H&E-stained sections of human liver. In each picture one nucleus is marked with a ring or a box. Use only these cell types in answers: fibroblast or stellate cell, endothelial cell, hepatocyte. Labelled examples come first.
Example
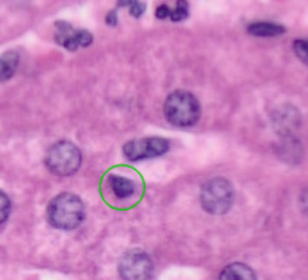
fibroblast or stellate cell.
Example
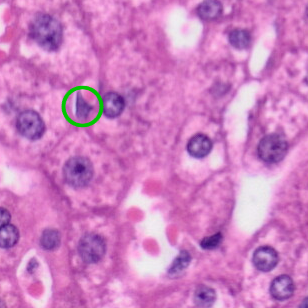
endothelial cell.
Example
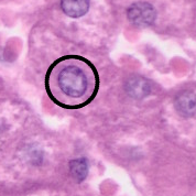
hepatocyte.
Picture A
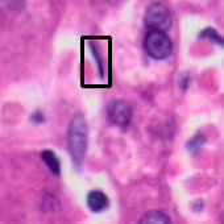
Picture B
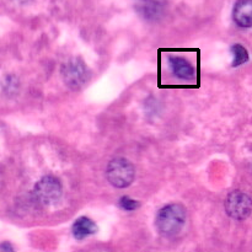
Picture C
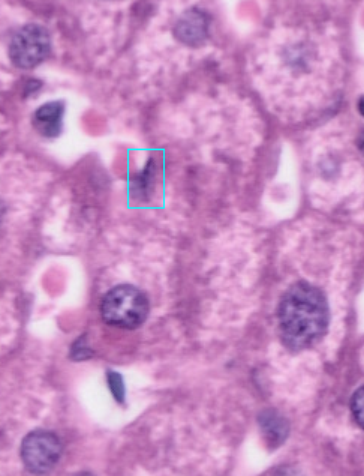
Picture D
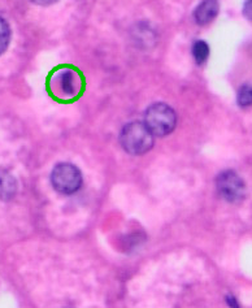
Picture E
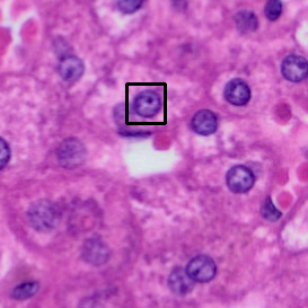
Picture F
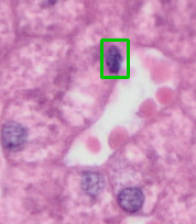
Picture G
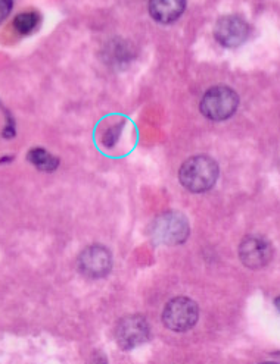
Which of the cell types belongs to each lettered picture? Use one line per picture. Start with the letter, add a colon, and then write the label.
A: endothelial cell.
B: fibroblast or stellate cell.
C: endothelial cell.
D: endothelial cell.
E: hepatocyte.
F: fibroblast or stellate cell.
G: endothelial cell.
